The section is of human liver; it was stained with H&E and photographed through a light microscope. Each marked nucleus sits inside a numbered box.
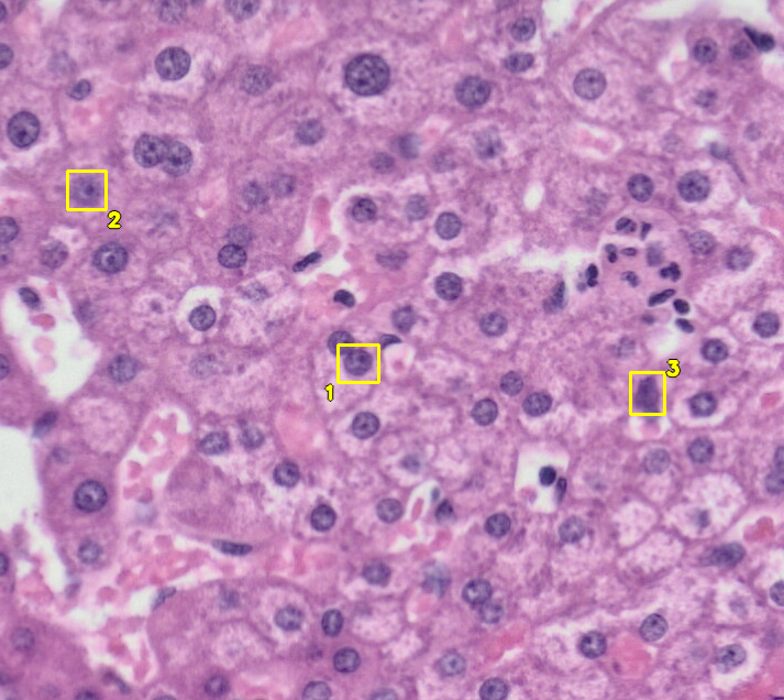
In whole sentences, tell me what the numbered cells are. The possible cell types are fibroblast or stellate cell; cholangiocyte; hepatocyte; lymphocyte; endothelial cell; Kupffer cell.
Cells 1 and 2 are hepatocytes. Cell 3 is a fibroblast or stellate cell.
